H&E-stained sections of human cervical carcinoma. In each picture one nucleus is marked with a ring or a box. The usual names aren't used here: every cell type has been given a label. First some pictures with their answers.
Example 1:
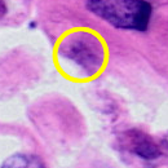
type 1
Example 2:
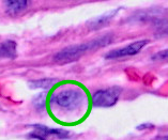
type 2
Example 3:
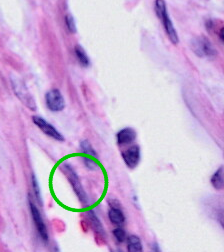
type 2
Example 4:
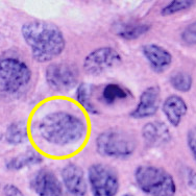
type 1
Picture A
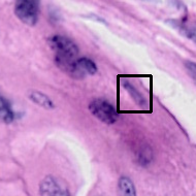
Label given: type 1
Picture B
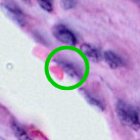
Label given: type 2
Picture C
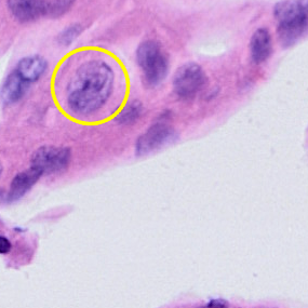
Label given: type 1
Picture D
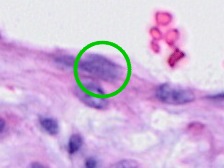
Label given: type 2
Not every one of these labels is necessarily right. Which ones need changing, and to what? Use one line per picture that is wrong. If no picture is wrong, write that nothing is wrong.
All labels are correct.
